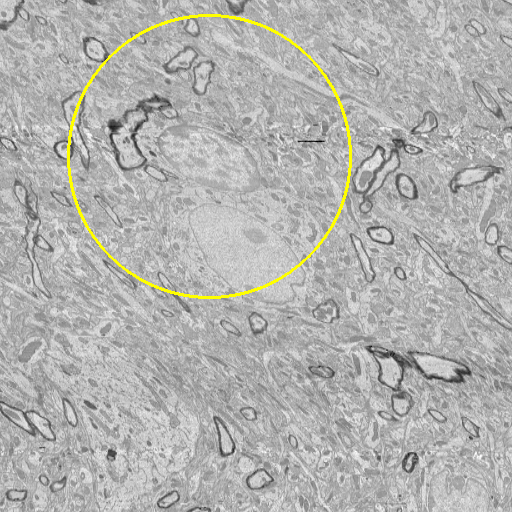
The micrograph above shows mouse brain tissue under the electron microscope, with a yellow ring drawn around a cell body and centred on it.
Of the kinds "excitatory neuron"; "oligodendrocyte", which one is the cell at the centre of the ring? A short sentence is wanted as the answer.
The one at the centre of the ring is an oligodendrocyte.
